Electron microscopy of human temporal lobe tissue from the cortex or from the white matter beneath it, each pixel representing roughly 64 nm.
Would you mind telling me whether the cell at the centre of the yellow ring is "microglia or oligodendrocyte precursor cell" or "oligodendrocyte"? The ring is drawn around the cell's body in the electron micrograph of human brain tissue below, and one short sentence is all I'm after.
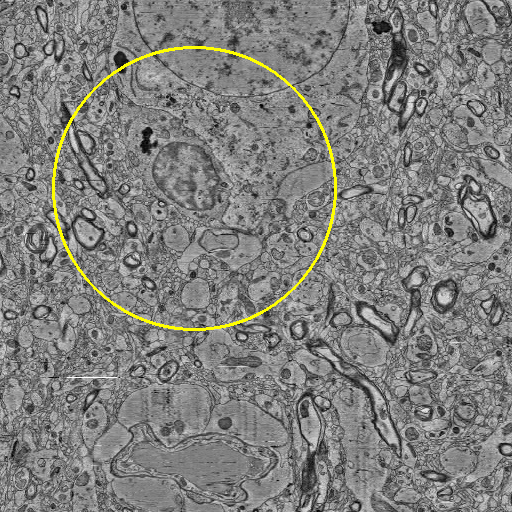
In the centre of the ring lies an oligodendrocyte.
